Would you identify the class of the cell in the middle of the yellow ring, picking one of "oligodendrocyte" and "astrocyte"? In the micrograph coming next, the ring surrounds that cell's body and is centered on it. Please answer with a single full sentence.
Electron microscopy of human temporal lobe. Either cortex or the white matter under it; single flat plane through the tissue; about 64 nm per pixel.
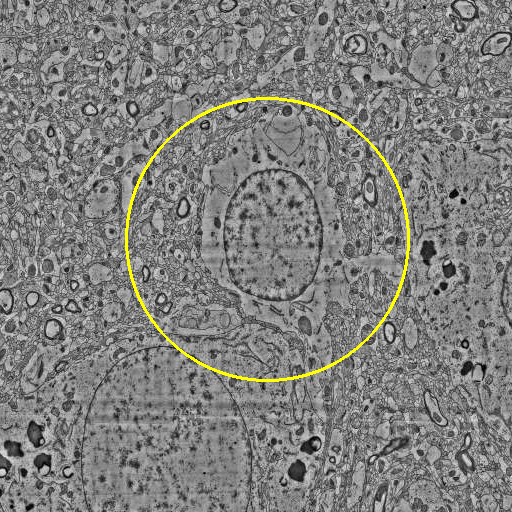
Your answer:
In the micrograph, it is an astrocyte whose body lies at the ring's center.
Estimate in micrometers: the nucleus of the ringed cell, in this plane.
About 8 micrometres by about 6 micrometres in this plane.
